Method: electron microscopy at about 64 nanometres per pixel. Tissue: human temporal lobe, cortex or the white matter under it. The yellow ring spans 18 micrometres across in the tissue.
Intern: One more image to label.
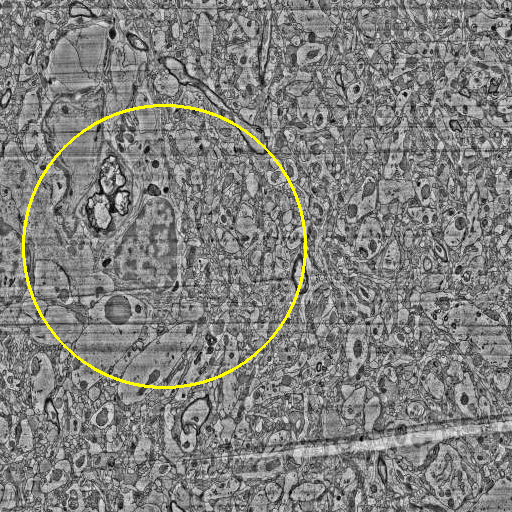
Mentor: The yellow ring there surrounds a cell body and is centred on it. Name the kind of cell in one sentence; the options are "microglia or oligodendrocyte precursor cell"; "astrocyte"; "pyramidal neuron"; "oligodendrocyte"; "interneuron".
The ring marks the cell body of a microglial cell or oligodendrocyte precursor cell.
